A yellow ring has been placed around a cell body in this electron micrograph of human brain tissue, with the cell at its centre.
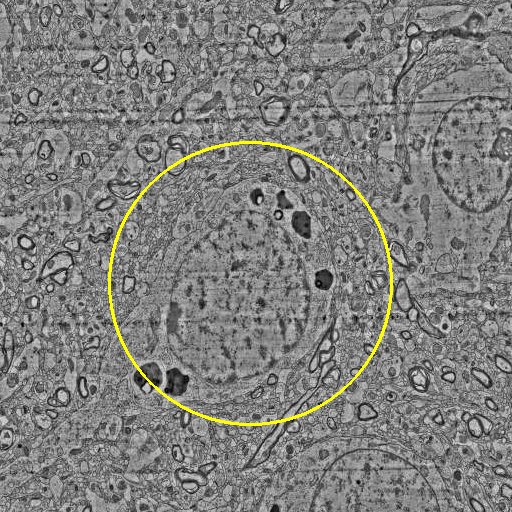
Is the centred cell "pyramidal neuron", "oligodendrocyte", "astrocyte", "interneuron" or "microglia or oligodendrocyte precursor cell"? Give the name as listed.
interneuron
